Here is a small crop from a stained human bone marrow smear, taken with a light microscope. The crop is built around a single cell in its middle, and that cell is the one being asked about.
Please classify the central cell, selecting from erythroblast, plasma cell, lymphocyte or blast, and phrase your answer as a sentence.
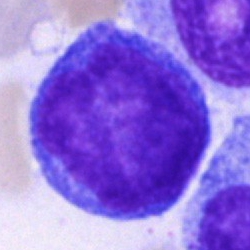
This crop is built around a blast at its centre.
